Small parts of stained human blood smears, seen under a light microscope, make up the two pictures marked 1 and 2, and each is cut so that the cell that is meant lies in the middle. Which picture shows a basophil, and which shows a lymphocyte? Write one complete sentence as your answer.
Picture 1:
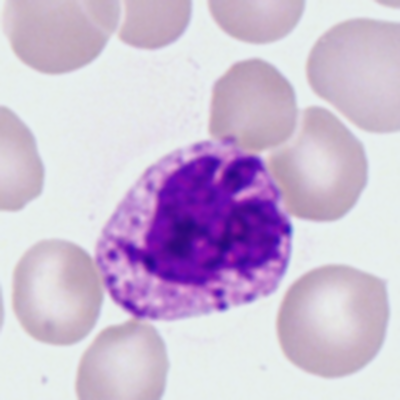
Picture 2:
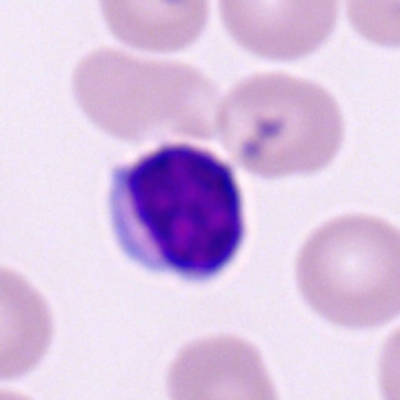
In picture 1 the cell is a basophil; in picture 2, a lymphocyte.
